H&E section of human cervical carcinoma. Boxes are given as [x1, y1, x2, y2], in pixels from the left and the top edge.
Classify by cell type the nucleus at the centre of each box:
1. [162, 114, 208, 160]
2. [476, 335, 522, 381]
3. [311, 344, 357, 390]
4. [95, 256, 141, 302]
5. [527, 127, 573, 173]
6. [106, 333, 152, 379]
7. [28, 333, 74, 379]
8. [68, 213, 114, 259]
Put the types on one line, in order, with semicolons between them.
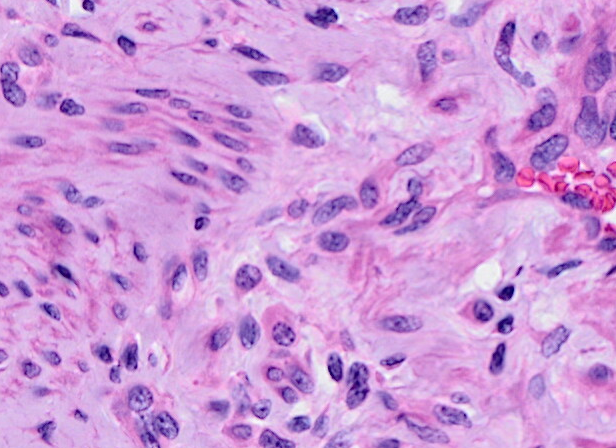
smooth muscle cell; lymphocyte; lymphocyte; smooth muscle cell; endothelial cell; lymphocyte; smooth muscle cell; smooth muscle cell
